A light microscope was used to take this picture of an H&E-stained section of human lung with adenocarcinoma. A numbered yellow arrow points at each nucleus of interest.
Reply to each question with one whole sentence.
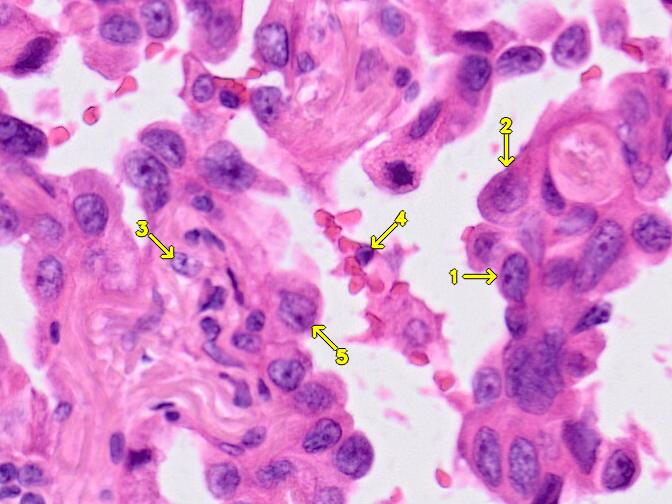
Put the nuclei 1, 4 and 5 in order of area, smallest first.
Smallest first, the nuclei run 4, 1, 5.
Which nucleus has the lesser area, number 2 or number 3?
Nucleus 3 is the smaller one; nucleus 2 covers about 4 times its area.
